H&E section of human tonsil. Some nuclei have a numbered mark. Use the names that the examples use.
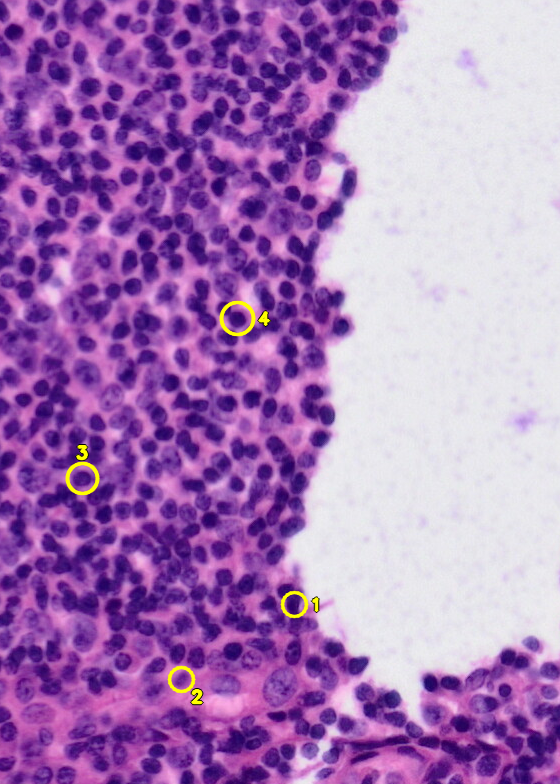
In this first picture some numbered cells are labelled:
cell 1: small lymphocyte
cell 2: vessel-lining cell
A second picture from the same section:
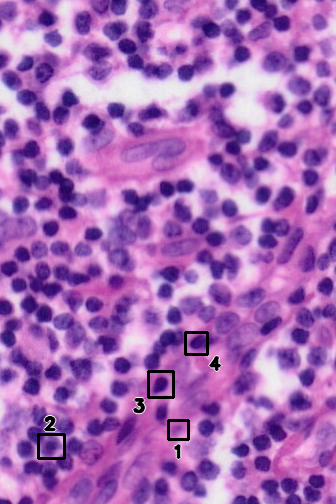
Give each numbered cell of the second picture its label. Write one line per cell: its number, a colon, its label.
1: vessel-lining cell
2: small lymphocyte
3: vessel-lining cell
4: vessel-lining cell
